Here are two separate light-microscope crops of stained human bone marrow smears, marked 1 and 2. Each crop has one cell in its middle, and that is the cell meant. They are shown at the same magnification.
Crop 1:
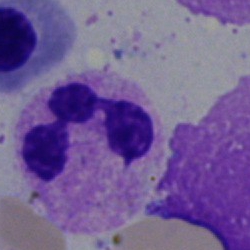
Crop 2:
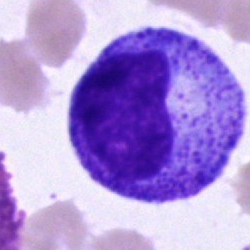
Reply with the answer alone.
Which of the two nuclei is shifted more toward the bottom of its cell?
2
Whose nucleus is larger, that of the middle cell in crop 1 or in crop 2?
2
